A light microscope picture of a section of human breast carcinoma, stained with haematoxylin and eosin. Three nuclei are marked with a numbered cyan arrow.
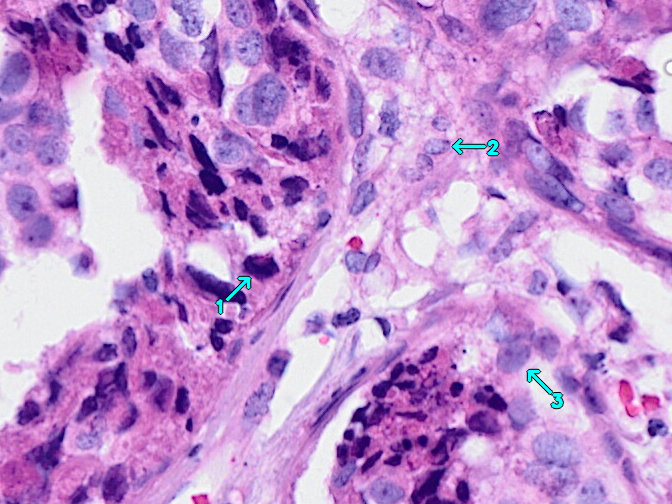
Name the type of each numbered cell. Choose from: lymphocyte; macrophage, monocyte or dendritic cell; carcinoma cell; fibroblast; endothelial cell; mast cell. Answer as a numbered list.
1. carcinoma cell
2. macrophage, monocyte or dendritic cell
3. carcinoma cell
